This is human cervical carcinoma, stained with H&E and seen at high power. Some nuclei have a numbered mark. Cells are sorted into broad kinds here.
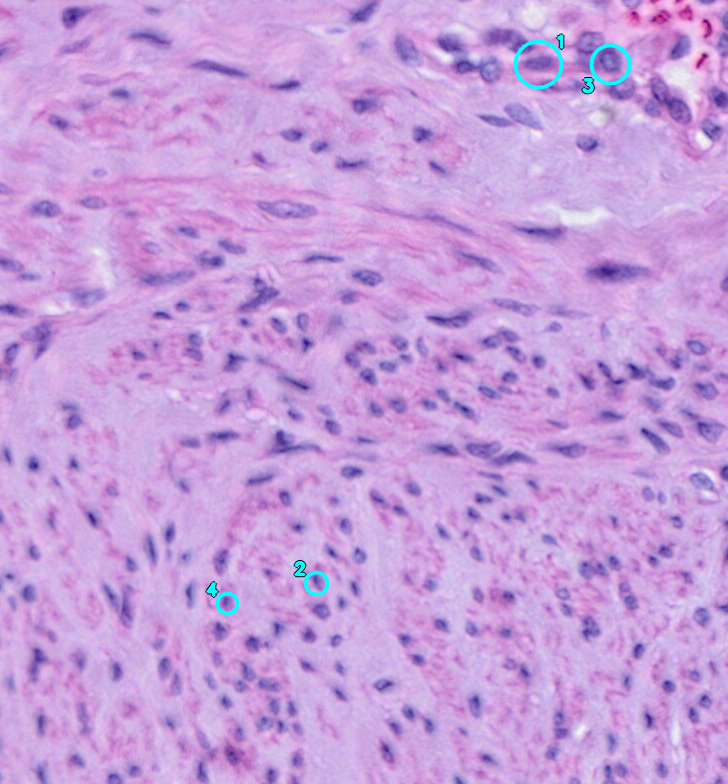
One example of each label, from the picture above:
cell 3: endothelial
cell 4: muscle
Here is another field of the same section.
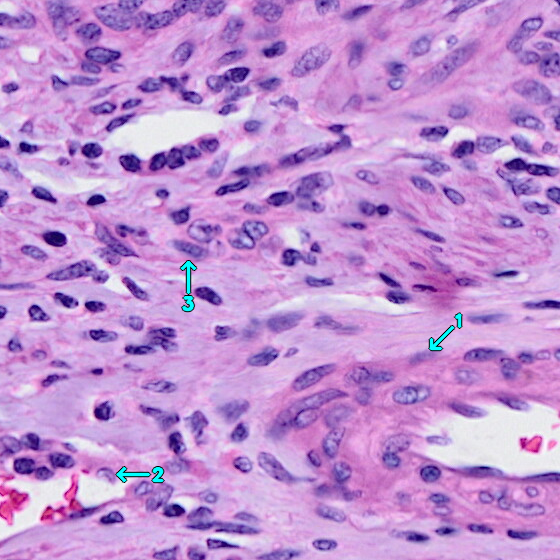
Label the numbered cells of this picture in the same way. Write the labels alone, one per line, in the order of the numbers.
muscle
endothelial
endothelial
